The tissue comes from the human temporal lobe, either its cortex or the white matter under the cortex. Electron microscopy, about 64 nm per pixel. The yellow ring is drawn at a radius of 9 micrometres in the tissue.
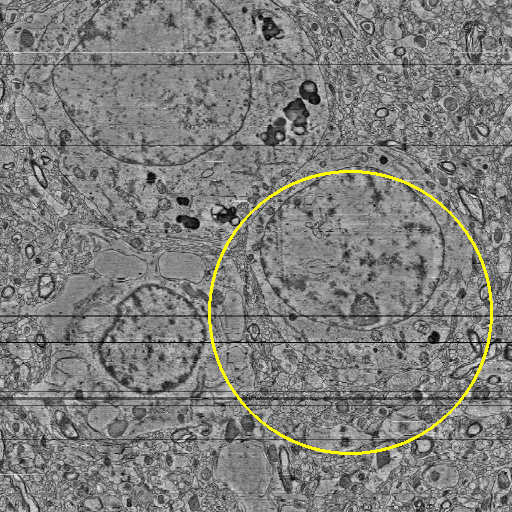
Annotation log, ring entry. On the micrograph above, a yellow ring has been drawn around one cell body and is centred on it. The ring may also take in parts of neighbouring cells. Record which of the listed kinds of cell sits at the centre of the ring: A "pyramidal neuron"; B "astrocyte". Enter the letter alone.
A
